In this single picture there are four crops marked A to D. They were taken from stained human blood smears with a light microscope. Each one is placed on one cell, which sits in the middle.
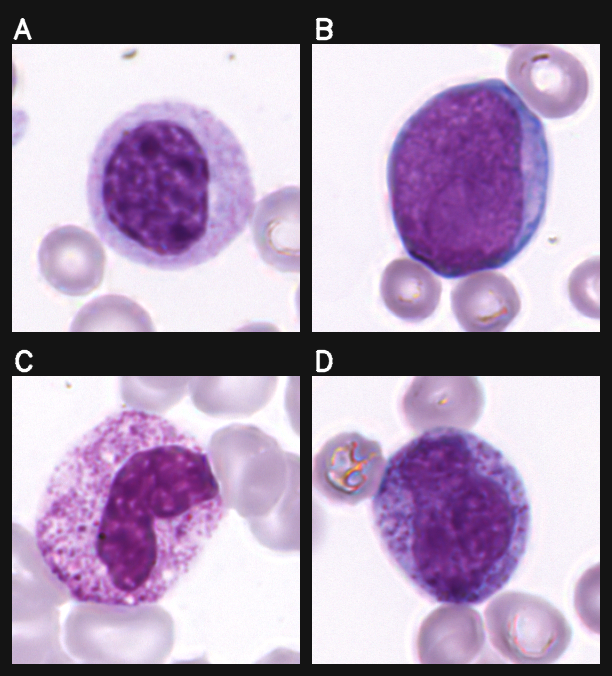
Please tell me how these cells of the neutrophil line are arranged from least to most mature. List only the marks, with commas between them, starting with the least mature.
B, D, A, C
